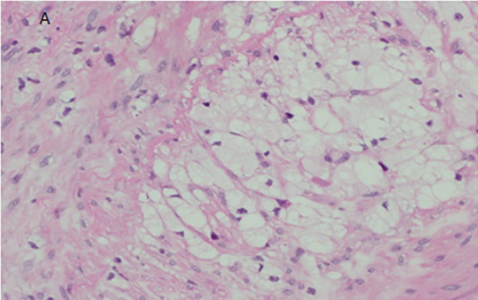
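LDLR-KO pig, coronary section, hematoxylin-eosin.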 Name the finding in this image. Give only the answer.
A: accumulated lipid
